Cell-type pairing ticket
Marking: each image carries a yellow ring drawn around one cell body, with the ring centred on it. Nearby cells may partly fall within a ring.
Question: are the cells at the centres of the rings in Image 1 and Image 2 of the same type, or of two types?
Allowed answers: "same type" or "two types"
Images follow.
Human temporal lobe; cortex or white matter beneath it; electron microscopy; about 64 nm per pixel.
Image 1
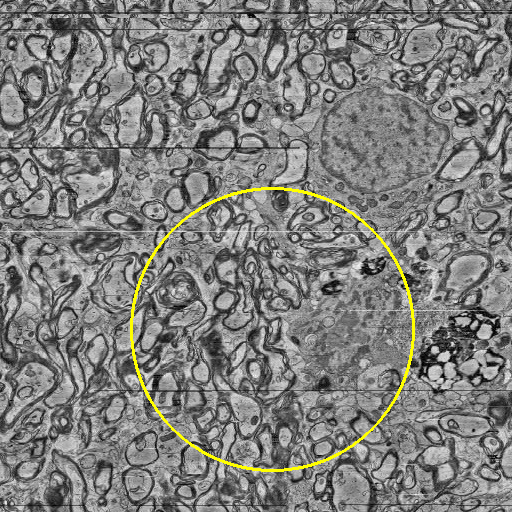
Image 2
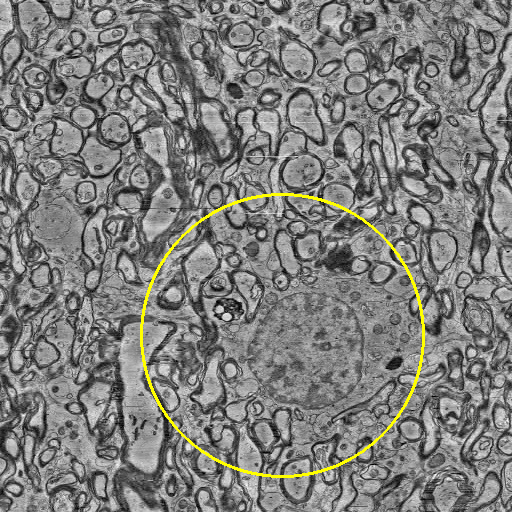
two types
